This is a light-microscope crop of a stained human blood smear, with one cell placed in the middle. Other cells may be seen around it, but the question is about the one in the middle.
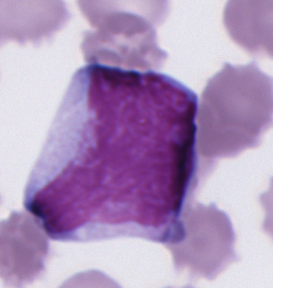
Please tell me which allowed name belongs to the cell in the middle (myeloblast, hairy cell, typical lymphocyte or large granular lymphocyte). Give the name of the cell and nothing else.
myeloblast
